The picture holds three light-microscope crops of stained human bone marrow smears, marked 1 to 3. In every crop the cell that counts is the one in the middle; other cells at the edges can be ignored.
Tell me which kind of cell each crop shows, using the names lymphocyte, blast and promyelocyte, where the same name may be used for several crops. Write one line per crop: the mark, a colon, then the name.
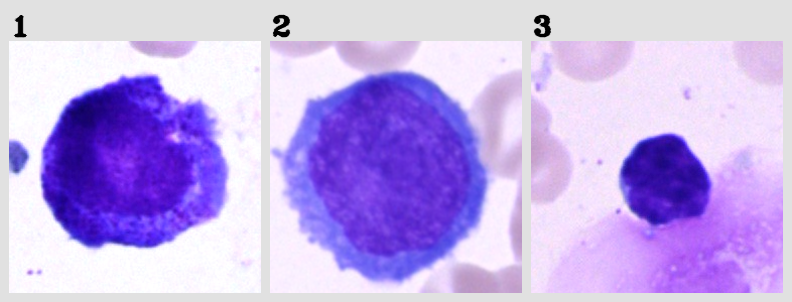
1: promyelocyte
2: blast
3: lymphocyte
